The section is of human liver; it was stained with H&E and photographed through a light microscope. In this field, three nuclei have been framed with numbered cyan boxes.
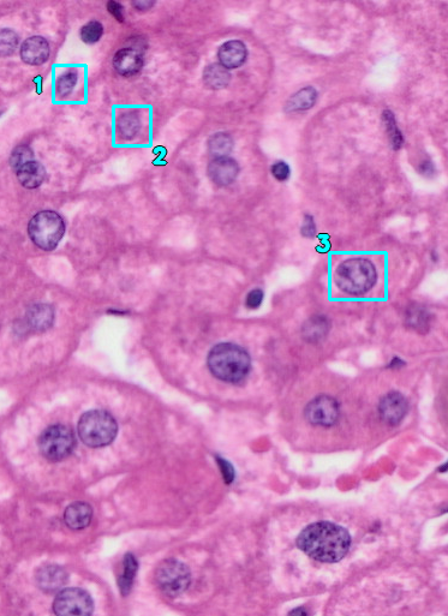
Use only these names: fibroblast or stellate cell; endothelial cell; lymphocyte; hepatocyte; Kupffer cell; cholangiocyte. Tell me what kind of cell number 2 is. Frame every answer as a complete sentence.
The cell with the number 2 is a hepatocyte.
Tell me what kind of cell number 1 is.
The mark numbered 1 indicates the nucleus of a Kupffer cell.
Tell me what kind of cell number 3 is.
Cell 3 is classified as a hepatocyte.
